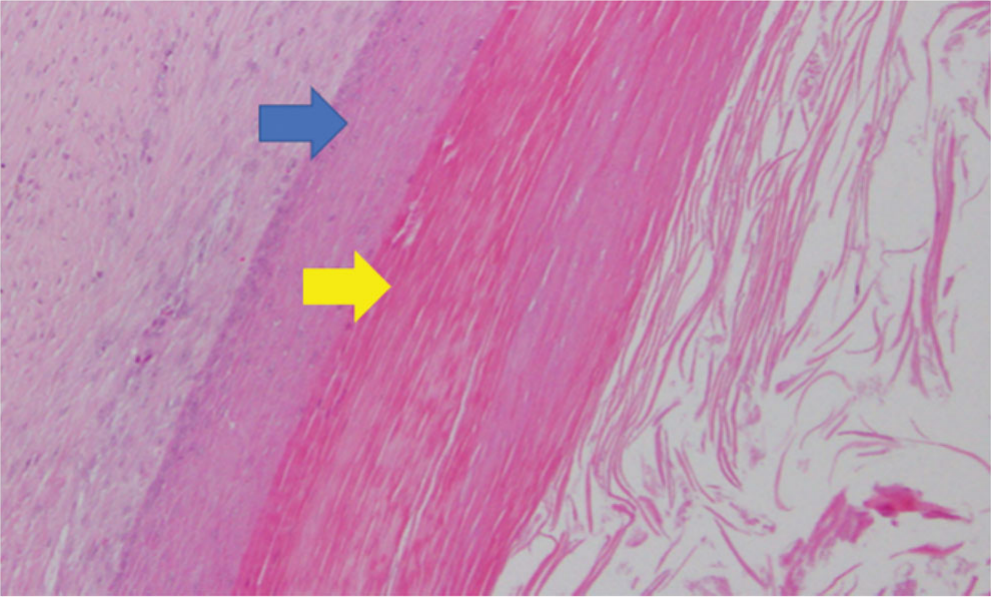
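Cyst wall with a squamous epithelial lining and keratin in the lumen. On the left lies pale pink, loosely fibrous wall tissue with scattered small nuclei. A narrow purple band of nucleated epithelium runs diagonally along the inner side of this wall. Lumenward of it lies a thick, bright pink, acellular band of compact parallel layers. Further into the lumen the pink material splits into loose, wavy, thin lamellae with clear spaces between them.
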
